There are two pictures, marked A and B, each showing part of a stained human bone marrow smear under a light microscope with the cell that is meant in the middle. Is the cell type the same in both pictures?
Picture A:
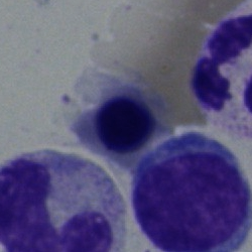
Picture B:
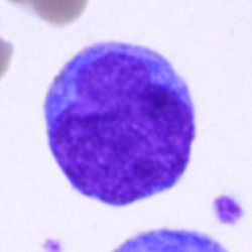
no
